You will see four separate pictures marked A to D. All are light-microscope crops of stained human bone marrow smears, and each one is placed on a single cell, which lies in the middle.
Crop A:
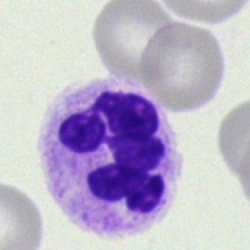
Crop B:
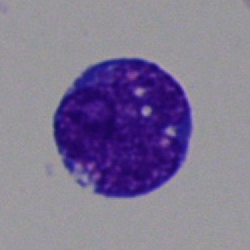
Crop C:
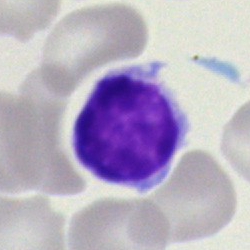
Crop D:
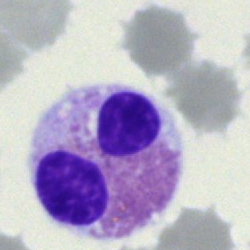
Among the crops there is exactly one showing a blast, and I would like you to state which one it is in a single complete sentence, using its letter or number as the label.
Crop B shows a blast, and no other crop does.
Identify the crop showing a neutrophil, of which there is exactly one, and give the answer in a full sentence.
Crop A is the one to choose: it shows a neutrophil.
